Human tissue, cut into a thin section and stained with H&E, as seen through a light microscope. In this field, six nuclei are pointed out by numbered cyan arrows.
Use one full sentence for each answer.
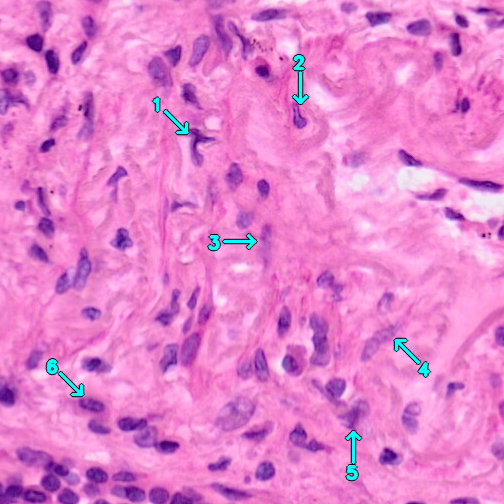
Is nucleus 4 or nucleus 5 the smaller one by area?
It is nucleus 4; nucleus 5 has about 2.5 times its area.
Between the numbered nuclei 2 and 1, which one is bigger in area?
It is nucleus 1, which covers about 2.5 times the area of nucleus 2.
